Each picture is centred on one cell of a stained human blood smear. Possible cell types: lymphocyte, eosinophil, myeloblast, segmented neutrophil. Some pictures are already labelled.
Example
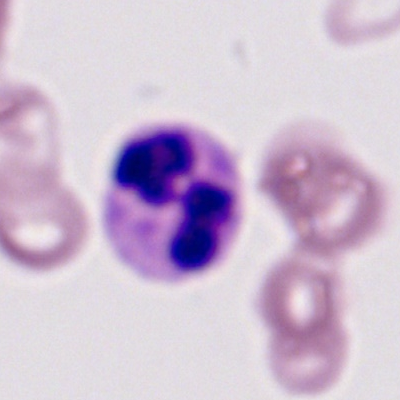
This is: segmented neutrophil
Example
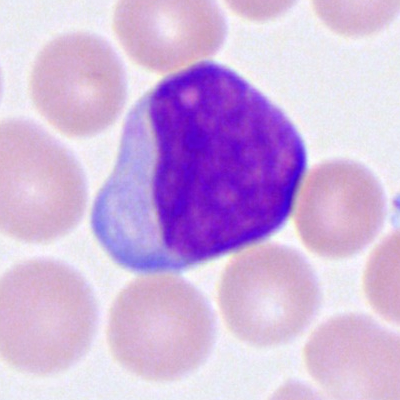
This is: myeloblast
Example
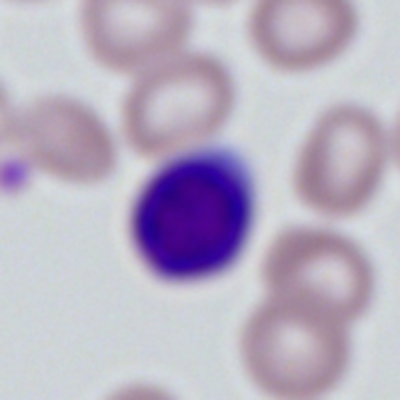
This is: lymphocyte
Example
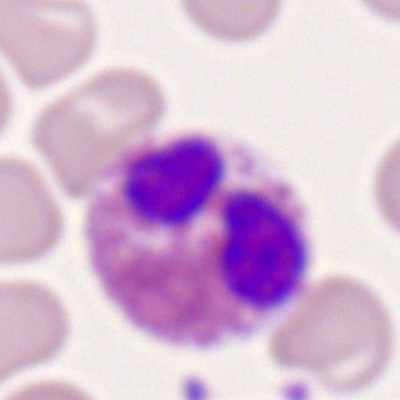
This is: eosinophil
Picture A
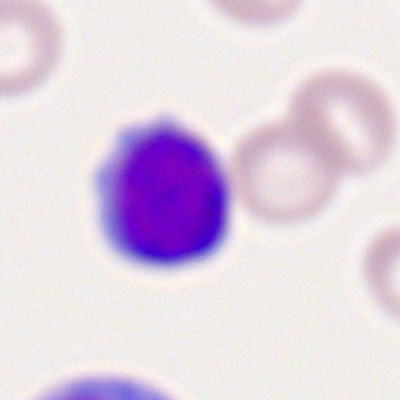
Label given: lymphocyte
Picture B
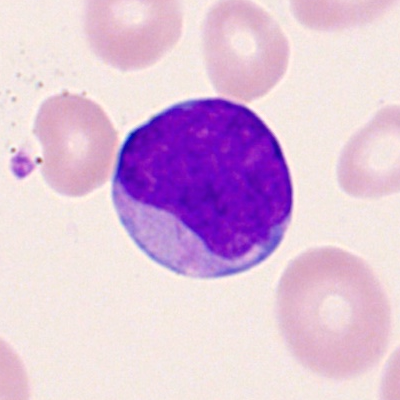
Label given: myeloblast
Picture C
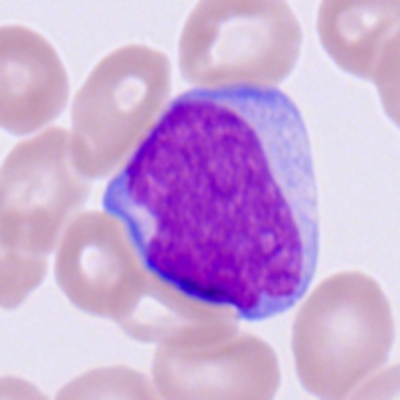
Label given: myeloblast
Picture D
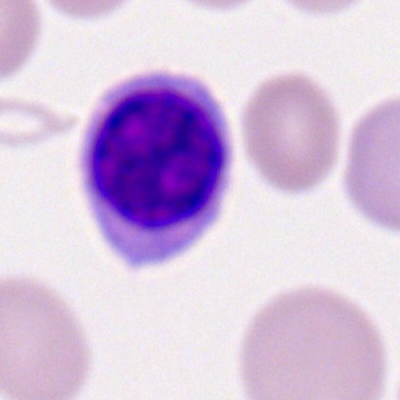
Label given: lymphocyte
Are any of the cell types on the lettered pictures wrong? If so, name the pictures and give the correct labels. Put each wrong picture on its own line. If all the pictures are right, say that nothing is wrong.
All correct.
